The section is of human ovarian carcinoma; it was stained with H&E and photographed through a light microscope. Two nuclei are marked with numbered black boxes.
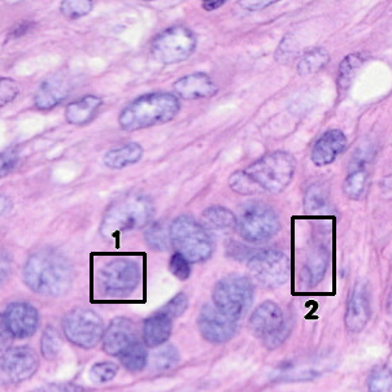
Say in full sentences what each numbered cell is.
Cell 1 is a carcinoma cell and cell 2 is a fibroblast.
